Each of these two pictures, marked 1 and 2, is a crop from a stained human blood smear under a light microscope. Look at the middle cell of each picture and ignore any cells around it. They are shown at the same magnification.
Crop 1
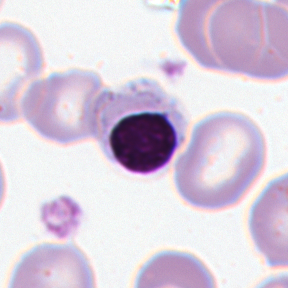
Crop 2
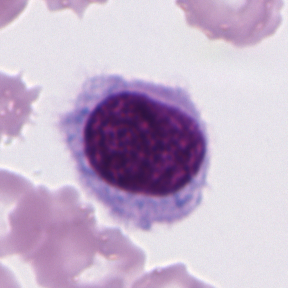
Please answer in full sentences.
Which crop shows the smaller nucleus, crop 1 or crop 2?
The nucleus in crop 1 is smaller; the one in crop 2 has about 3 times its area.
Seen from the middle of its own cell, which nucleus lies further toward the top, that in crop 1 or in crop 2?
In crop 2 the nucleus is shifted more toward the top.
